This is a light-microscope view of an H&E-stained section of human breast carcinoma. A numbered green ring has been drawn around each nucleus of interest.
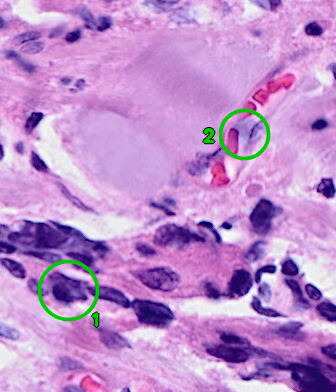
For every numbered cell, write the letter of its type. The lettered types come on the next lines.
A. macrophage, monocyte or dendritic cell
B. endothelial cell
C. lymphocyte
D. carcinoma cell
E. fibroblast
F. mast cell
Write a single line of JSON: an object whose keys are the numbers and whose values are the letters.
{"1": "D", "2": "B"}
